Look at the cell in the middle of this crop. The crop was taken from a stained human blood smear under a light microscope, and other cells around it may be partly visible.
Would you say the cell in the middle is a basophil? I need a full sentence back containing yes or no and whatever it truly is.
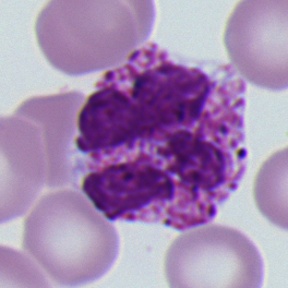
Yes, the cell at the heart of the crop is a basophil.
